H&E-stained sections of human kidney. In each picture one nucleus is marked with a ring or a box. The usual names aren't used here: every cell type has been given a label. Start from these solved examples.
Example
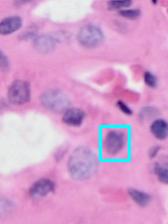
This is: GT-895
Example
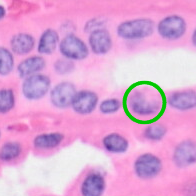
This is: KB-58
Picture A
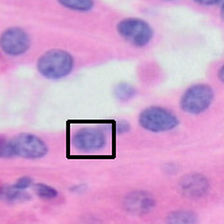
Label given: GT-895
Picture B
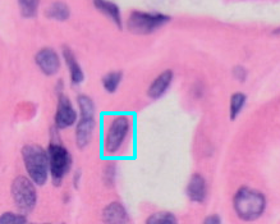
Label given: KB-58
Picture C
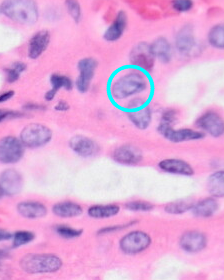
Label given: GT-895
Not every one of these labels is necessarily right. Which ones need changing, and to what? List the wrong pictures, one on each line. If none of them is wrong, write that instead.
Wrong: B (KB-58); correct: GT-895
Wrong: C (GT-895); correct: KB-58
